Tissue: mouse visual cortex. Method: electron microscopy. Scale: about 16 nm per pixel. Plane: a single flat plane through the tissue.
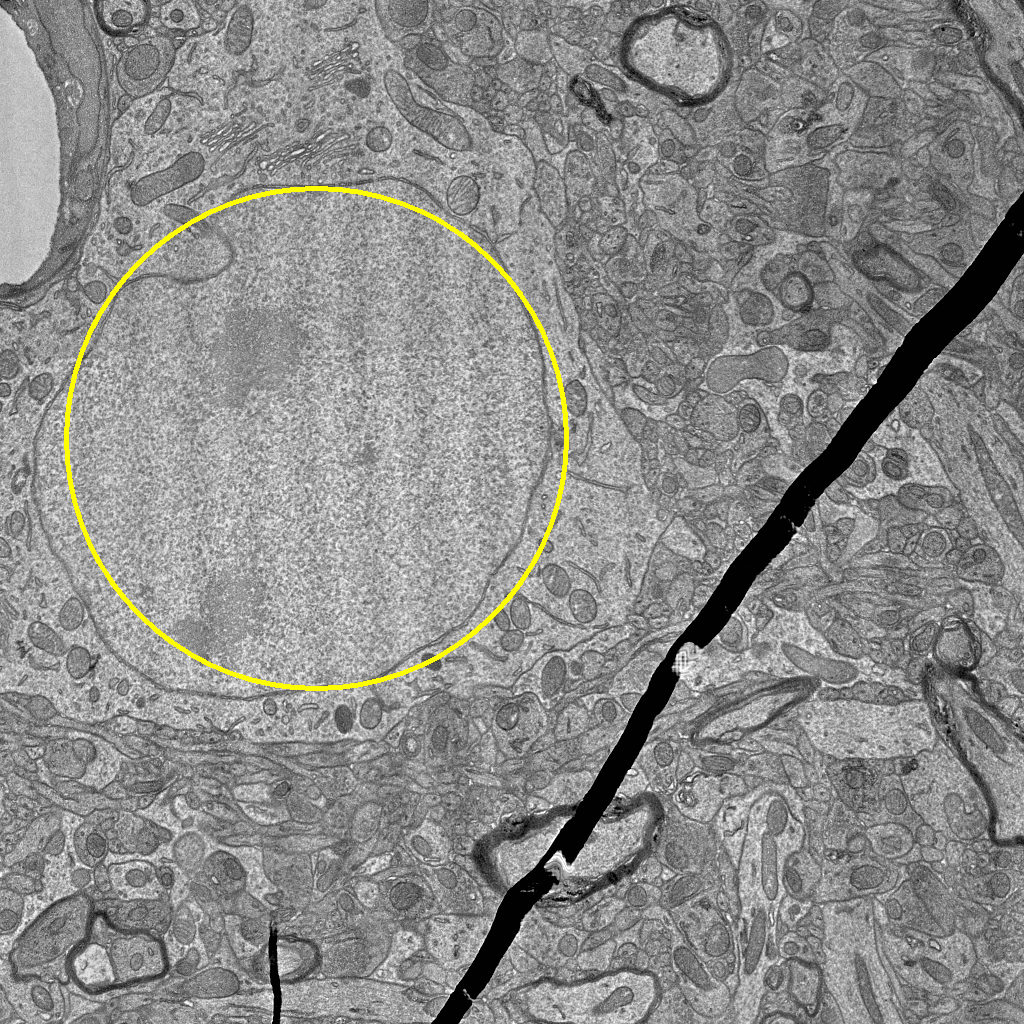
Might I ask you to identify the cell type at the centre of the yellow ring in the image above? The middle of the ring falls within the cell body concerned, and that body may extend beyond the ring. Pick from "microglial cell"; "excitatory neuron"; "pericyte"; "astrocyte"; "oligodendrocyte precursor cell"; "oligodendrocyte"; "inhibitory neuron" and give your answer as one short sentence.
The centre of the ring falls on an excitatory neuron.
